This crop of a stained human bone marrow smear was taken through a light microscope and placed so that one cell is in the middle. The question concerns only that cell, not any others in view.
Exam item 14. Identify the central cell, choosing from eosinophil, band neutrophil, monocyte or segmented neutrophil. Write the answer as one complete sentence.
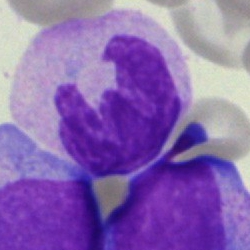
This crop has a monocyte at its centre.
